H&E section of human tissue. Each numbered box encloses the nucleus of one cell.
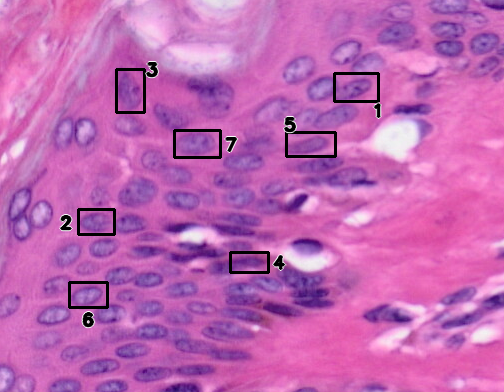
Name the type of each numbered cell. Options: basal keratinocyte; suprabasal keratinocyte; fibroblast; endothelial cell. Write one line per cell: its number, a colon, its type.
1: basal keratinocyte
2: suprabasal keratinocyte
3: suprabasal keratinocyte
4: basal keratinocyte
5: basal keratinocyte
6: suprabasal keratinocyte
7: suprabasal keratinocyte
